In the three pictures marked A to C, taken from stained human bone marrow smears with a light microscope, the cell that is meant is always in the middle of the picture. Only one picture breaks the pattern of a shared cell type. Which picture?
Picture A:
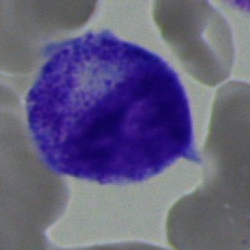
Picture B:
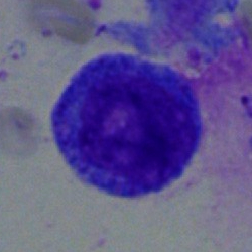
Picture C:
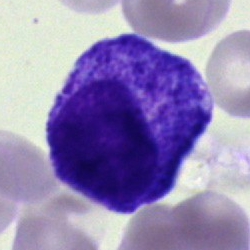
A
